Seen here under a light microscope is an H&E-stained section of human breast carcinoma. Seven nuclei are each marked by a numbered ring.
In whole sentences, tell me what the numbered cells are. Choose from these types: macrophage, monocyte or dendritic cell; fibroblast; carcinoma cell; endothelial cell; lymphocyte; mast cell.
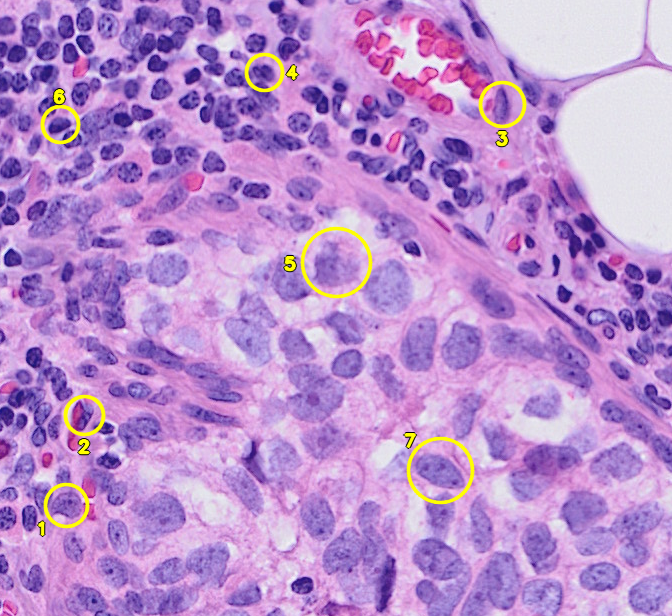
Cells 1, 2 and 3 are endothelial cells. Cells 4 and 6 are lymphocytes. Cells 5 and 7 are carcinoma cells.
